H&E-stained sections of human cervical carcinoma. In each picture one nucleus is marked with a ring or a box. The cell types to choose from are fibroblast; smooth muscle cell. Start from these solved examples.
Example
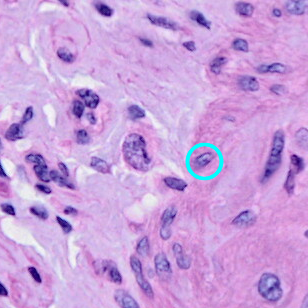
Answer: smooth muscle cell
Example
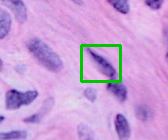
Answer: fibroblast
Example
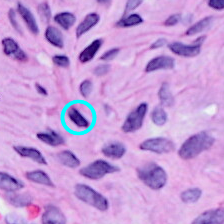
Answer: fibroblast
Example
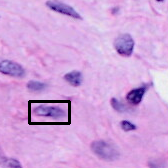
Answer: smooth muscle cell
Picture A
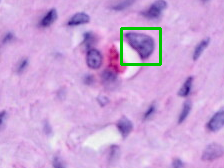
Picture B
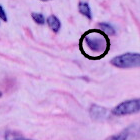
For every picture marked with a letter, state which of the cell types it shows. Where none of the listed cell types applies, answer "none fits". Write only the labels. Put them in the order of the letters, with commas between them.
none fits, smooth muscle cell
